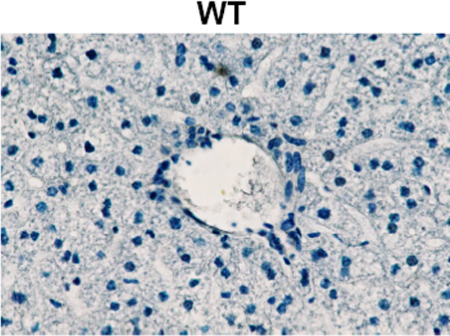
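This is liver tissue around a central vein, showing cords of hepatocytes with only blue counterstain. Hepatocyte cords extend outward from the vein, separated by narrow sinusoidal spaces. Nuclei appear as round to oval blue dots scattered through pale, finely textured cytoplasm. No brown staining is visible along the vein lining or the sinusoids.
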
